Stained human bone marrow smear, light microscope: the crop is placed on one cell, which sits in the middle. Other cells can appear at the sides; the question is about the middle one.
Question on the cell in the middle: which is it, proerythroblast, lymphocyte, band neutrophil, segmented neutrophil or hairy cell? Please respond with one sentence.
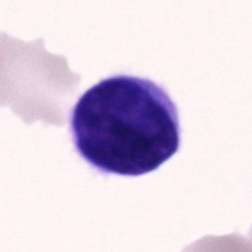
Classification of the middle cell gives a lymphocyte.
